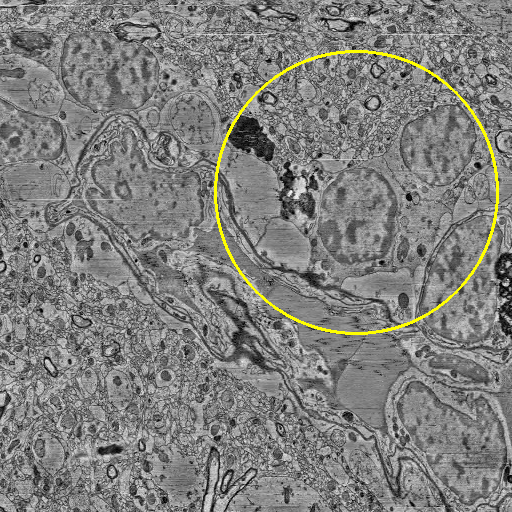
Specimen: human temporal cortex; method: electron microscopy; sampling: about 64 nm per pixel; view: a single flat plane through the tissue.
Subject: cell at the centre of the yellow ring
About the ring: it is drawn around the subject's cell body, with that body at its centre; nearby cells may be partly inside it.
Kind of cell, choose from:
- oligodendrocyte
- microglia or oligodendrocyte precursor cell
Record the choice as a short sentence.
The subject cell is an oligodendrocyte.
